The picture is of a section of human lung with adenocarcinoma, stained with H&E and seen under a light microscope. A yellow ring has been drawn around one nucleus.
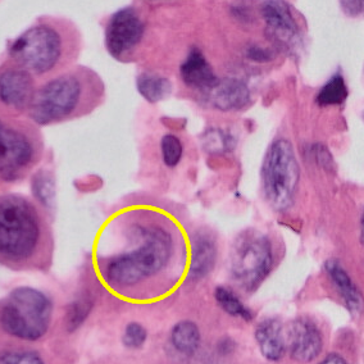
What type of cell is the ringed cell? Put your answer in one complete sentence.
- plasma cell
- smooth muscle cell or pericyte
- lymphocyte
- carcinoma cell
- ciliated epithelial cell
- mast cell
The ringed cell is a carcinoma cell.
